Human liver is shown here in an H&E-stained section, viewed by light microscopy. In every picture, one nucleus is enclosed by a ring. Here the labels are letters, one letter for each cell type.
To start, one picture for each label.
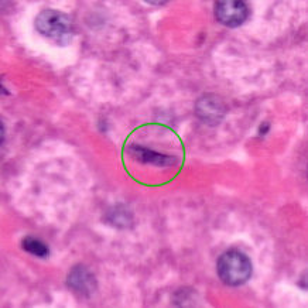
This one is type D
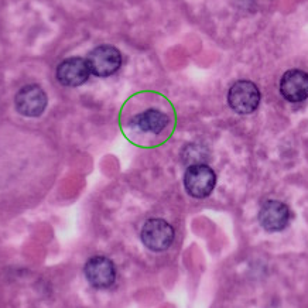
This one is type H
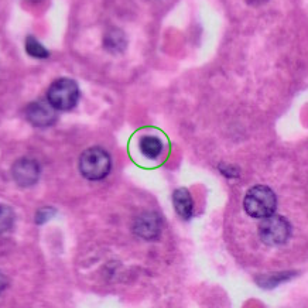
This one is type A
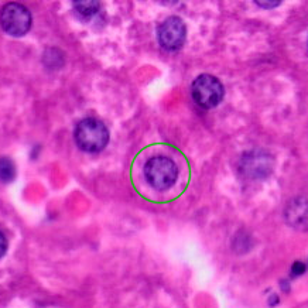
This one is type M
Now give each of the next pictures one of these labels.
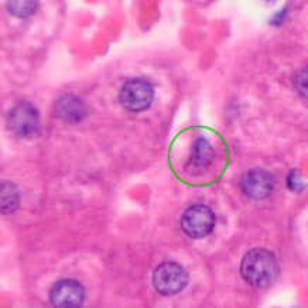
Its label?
type D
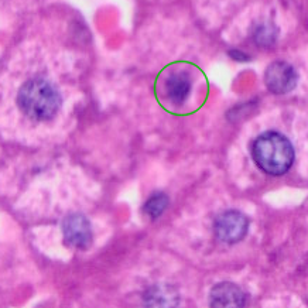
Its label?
type H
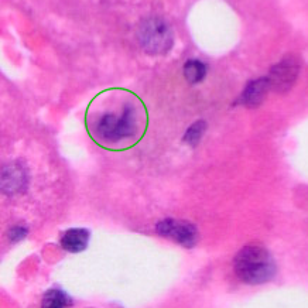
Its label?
type D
